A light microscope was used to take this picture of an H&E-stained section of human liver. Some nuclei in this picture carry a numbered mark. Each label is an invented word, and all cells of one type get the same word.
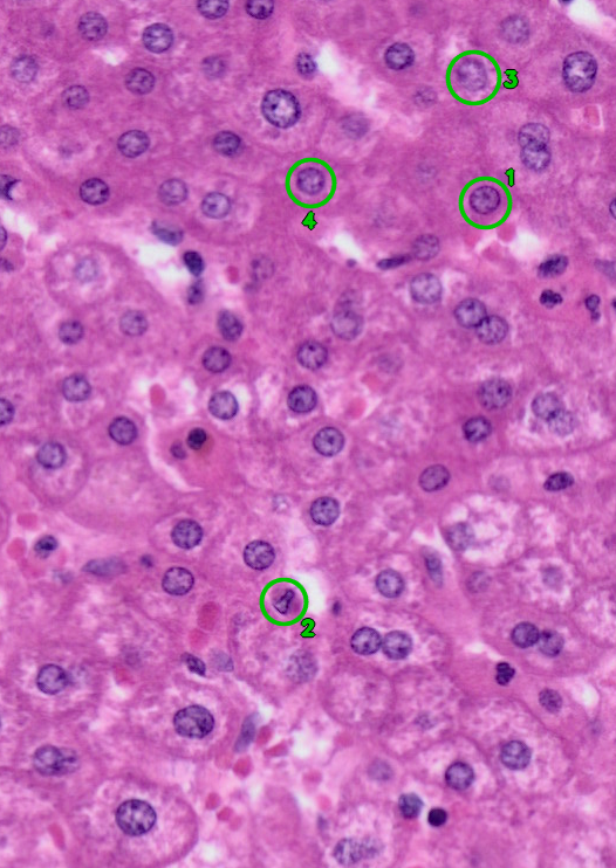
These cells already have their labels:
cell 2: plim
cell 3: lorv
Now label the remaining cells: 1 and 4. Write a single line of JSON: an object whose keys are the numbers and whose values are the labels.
{"1": "lorv", "4": "lorv"}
